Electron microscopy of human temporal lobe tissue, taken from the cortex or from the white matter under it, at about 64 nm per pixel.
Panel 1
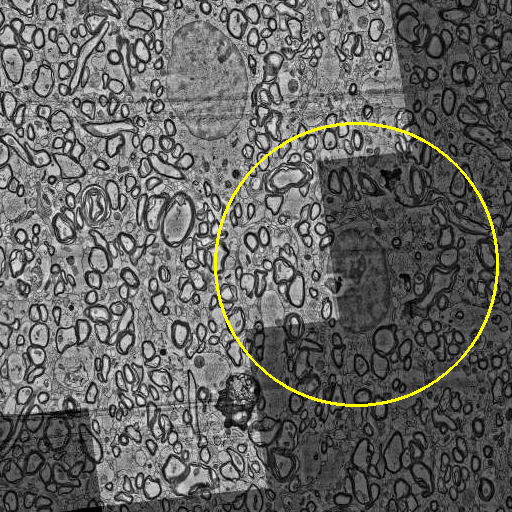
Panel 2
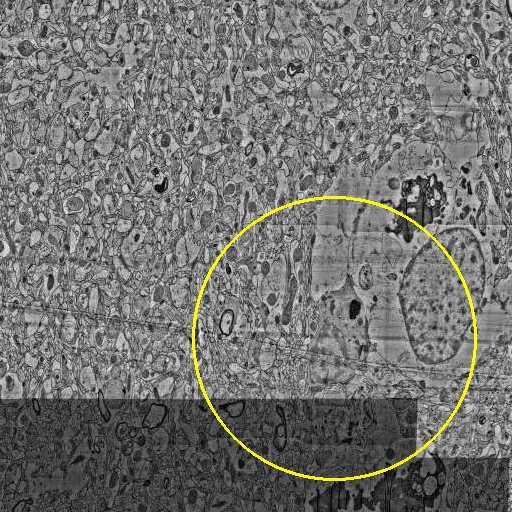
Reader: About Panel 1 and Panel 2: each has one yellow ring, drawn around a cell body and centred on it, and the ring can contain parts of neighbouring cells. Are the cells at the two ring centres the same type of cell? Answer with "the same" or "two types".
the same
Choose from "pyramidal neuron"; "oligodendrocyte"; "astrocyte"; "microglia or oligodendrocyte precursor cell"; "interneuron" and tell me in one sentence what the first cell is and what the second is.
In each picture the ringed cell is an oligodendrocyte.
